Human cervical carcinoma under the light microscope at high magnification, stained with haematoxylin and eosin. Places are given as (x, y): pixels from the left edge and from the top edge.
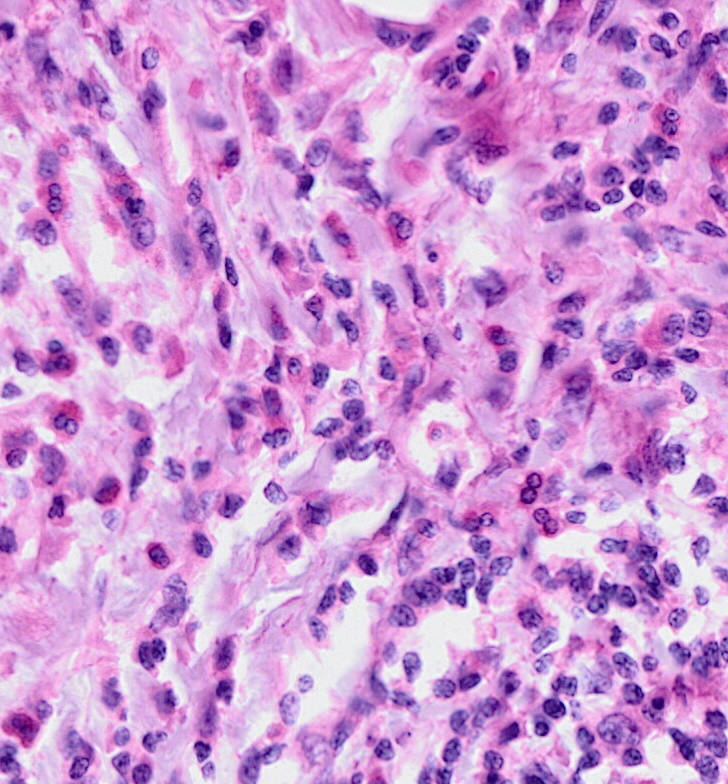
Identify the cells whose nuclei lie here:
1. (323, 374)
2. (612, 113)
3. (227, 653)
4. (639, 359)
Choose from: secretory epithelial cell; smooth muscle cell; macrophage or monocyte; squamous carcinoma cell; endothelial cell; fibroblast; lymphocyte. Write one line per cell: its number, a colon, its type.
1: lymphocyte
2: lymphocyte
3: macrophage or monocyte
4: lymphocyte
